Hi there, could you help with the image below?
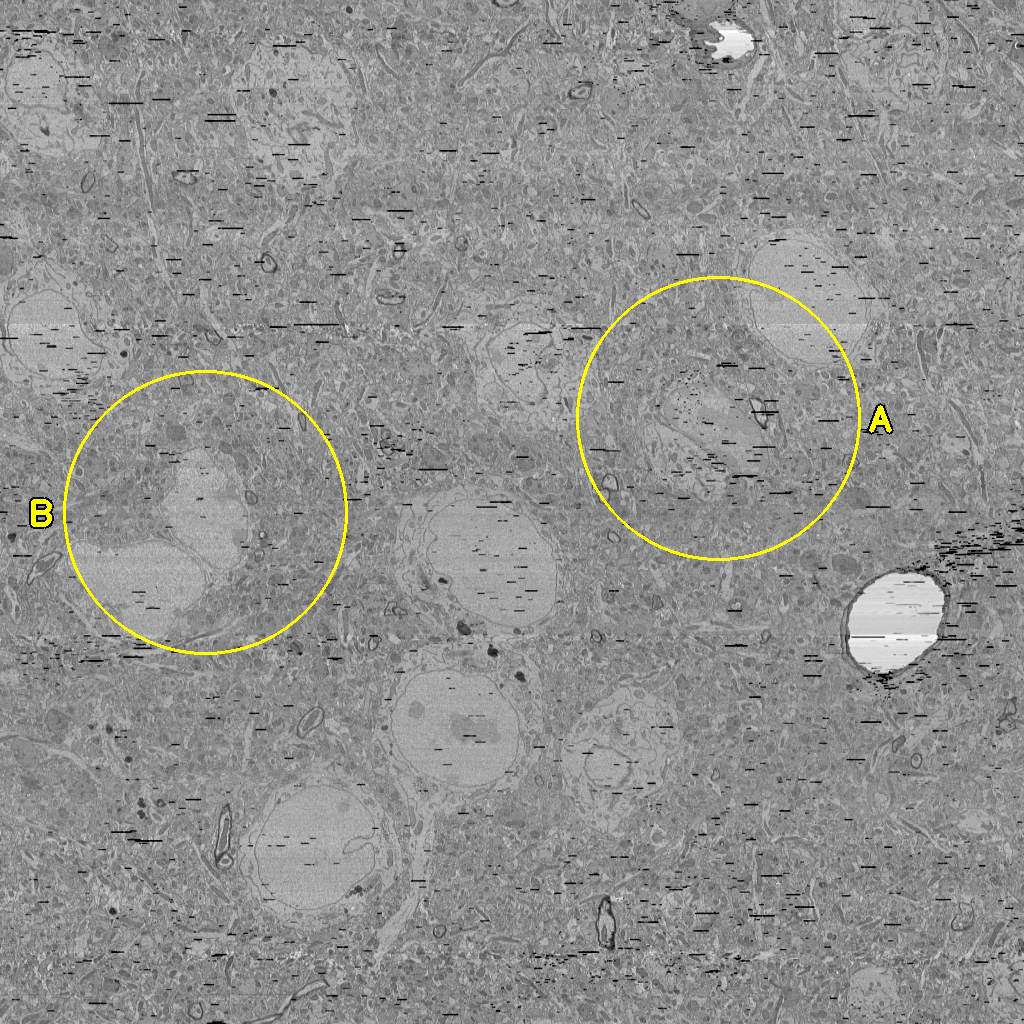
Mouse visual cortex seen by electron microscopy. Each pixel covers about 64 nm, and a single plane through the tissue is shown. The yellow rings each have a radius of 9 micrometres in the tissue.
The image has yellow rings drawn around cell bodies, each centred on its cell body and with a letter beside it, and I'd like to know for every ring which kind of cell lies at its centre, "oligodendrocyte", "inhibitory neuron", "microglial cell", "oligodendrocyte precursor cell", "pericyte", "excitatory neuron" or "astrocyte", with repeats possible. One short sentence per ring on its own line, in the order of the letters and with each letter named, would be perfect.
Ring A is placed around a microglial cell.
Ring B is placed around an astrocyte.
